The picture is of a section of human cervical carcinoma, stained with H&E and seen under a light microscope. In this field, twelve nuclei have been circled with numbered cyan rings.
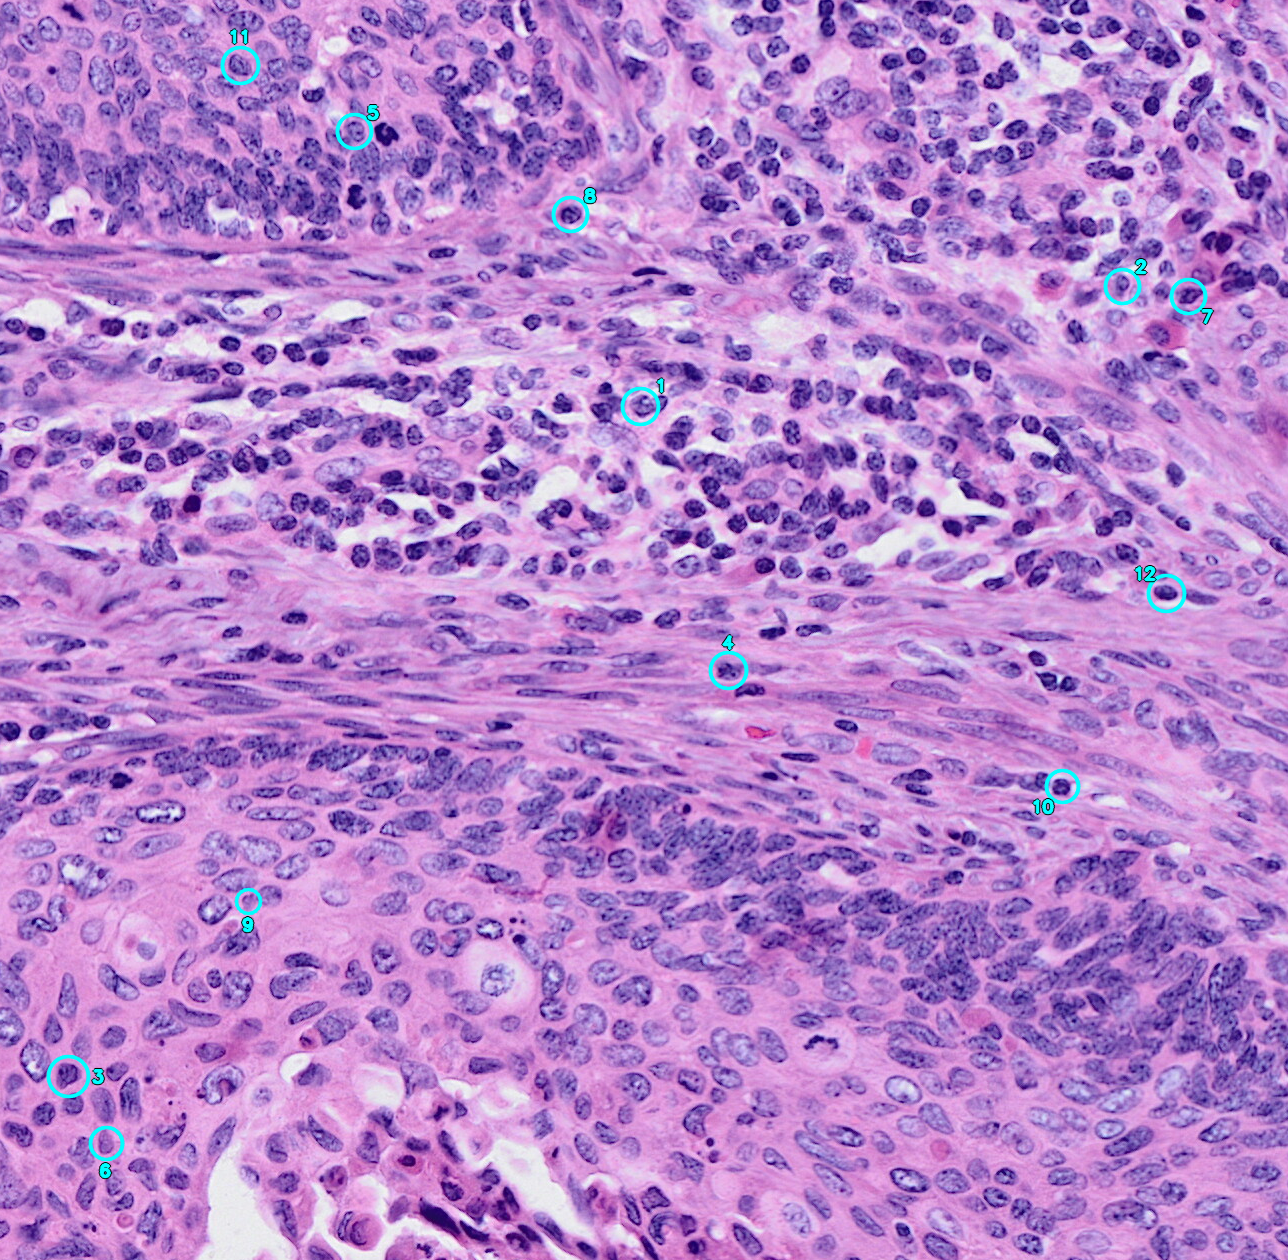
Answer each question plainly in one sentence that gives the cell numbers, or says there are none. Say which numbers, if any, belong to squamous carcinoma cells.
The numbers 3, 5, 6, 9 and 11 mark cells that are squamous carcinoma cells.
